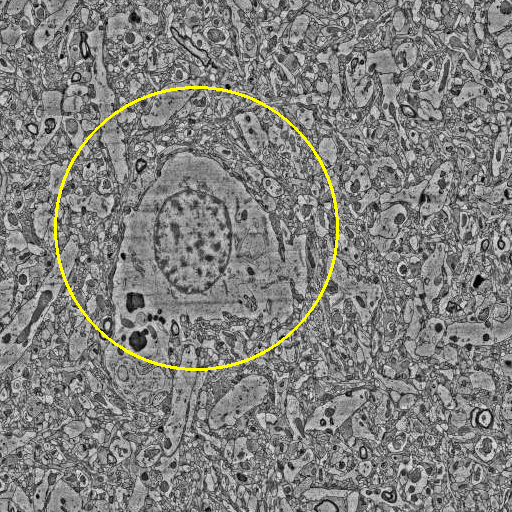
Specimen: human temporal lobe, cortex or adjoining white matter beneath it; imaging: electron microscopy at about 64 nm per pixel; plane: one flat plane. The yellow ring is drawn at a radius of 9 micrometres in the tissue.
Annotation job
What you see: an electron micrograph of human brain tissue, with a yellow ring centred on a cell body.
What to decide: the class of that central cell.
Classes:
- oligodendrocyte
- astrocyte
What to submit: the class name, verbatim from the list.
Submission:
astrocyte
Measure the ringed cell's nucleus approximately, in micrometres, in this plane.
The nucleus comes to roughly 7 by 5 micrometres in this plane.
